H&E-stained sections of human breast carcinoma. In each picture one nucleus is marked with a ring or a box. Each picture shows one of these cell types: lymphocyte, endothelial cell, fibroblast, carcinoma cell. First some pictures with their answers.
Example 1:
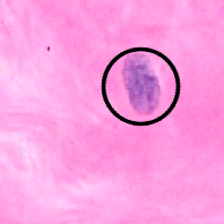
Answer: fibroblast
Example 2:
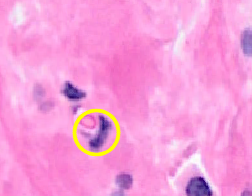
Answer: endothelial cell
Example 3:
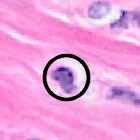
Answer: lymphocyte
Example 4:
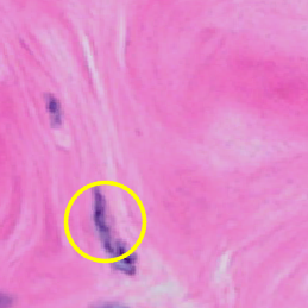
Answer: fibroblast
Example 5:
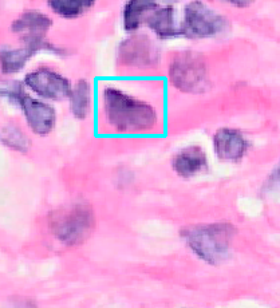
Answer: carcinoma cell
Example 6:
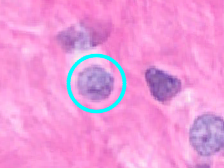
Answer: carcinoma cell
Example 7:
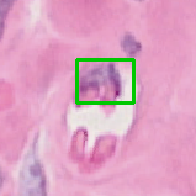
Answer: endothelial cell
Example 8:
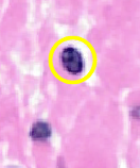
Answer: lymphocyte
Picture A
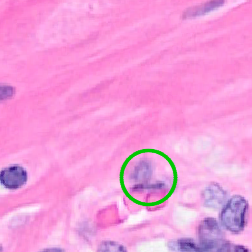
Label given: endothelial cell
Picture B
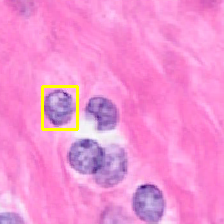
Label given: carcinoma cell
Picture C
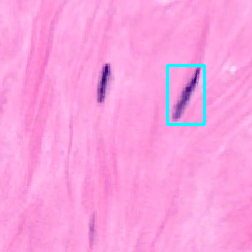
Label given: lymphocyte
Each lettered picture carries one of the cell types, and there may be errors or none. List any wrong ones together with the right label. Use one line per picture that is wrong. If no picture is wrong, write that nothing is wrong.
C: fibroblast, not lymphocyte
